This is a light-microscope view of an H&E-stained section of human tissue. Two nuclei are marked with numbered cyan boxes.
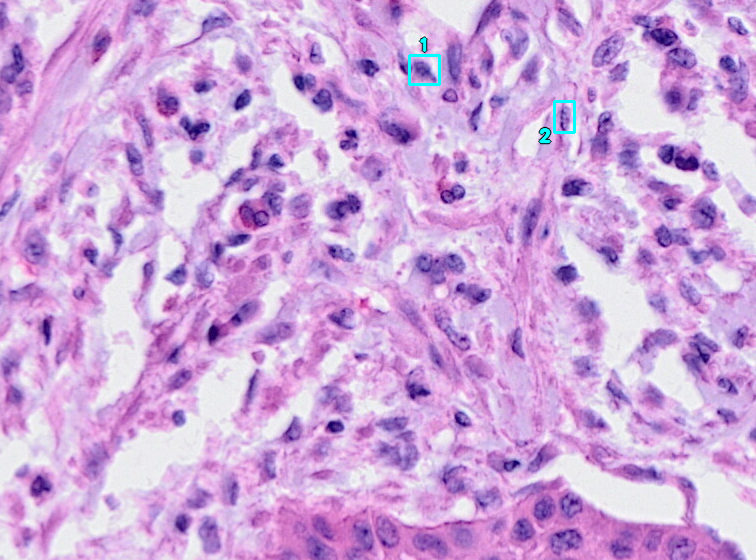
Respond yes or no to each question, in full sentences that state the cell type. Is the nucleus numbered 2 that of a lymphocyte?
No, the cell carrying number 2 is a fibroblast, not a lymphocyte.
